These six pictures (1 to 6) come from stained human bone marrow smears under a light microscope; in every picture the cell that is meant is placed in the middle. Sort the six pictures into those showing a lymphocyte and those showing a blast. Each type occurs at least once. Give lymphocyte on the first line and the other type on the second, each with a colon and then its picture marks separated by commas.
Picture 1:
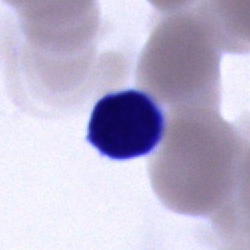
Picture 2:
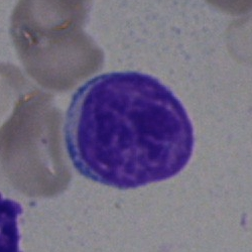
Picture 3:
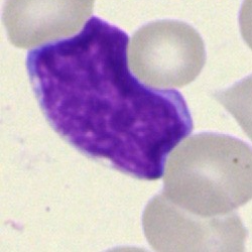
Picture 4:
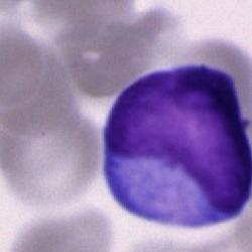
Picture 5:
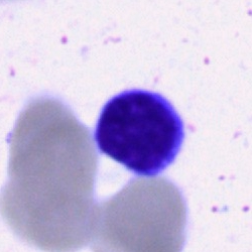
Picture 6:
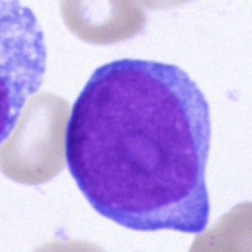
lymphocyte: 1, 2, 5
blast: 3, 4, 6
